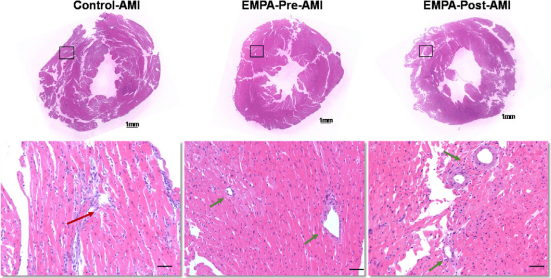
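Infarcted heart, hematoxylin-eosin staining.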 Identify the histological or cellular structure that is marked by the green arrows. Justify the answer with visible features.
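The green arrows point to open, rounded lumina among the muscle fibres. Each lumen is bordered by a continuous wall. The answer: vessels with structural integrity.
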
